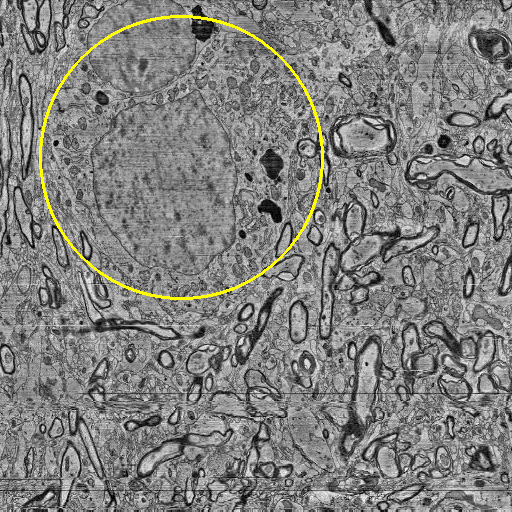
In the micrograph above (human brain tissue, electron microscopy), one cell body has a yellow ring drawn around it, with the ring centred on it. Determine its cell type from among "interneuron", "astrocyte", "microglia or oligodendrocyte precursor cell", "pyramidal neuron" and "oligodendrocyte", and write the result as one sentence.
The cell whose body is ringed is an interneuron.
